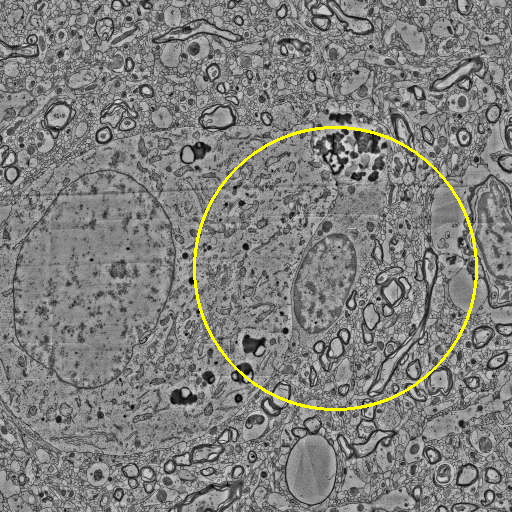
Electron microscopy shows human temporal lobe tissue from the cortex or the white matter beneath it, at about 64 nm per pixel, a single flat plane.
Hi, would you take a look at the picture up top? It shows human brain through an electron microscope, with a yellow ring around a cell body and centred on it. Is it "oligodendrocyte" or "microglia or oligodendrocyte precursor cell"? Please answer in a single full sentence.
The best fit for the cell in the middle of the ring is an oligodendrocyte, I reckon.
